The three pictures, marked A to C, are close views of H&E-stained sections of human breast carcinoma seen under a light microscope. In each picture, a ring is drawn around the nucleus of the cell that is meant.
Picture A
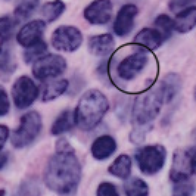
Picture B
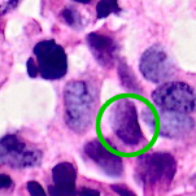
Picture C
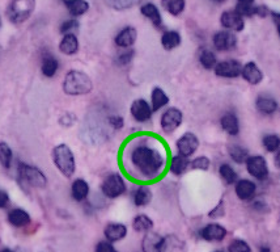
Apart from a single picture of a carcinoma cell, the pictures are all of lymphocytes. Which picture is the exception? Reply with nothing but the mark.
B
